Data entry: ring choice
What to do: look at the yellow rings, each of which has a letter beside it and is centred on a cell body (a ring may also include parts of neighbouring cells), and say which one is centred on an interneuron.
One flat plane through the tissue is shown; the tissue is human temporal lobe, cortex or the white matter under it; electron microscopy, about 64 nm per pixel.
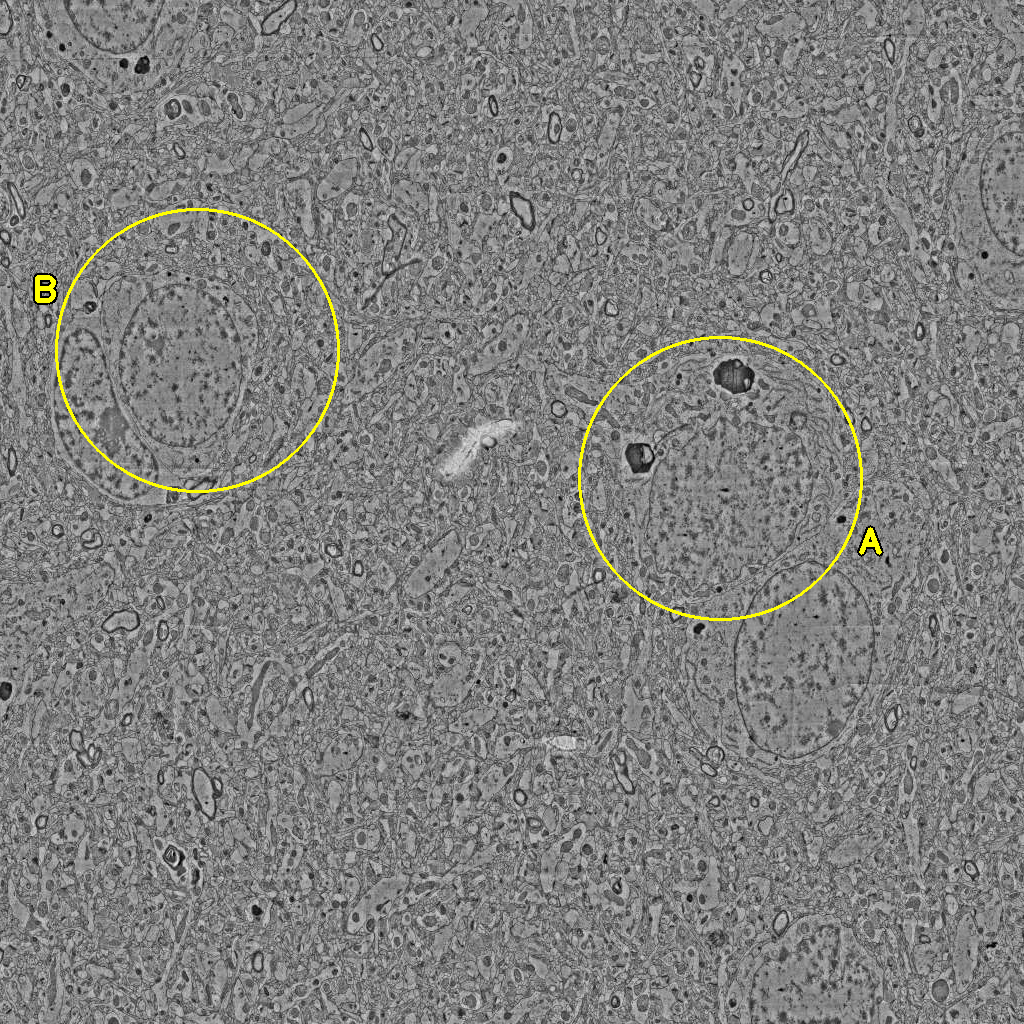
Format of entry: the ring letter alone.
A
